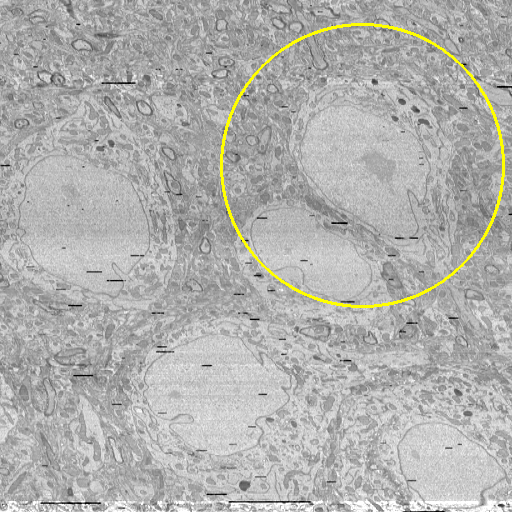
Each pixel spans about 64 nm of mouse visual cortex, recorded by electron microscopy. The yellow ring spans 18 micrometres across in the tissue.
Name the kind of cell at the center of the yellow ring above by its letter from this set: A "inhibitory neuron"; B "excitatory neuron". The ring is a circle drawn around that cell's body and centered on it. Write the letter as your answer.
A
